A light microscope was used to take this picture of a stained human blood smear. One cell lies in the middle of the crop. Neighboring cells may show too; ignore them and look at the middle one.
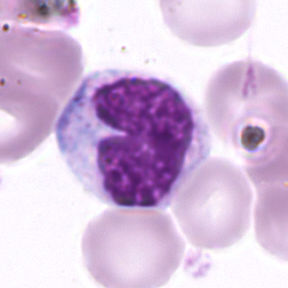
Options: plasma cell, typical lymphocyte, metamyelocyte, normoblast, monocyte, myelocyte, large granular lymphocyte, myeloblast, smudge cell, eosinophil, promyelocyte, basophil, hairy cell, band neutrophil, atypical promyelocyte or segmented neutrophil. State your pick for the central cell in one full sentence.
The crop's centre is taken up by a band neutrophil.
